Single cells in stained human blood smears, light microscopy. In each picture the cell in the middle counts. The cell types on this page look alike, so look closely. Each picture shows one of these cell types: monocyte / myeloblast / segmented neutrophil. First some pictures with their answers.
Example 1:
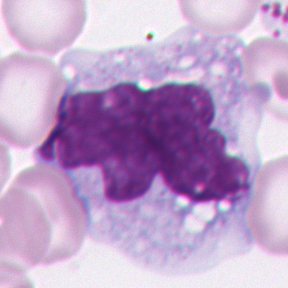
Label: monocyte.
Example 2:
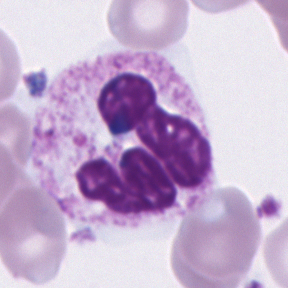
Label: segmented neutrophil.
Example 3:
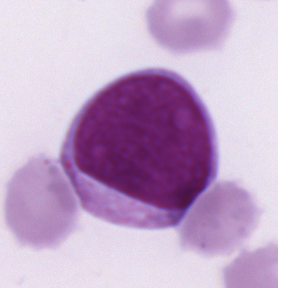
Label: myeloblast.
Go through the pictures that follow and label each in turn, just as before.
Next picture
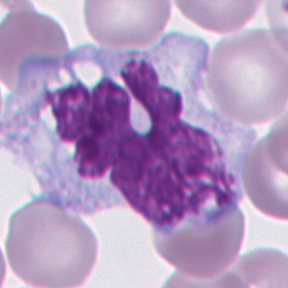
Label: monocyte.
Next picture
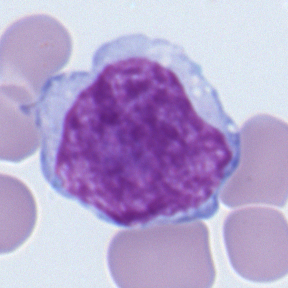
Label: myeloblast.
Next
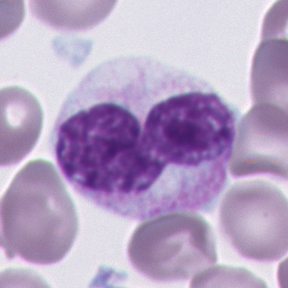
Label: segmented neutrophil.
